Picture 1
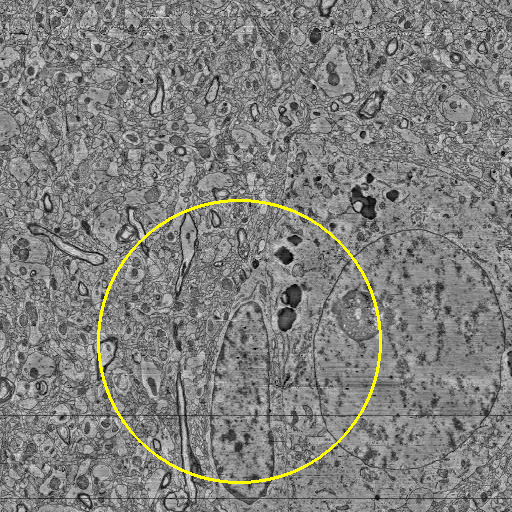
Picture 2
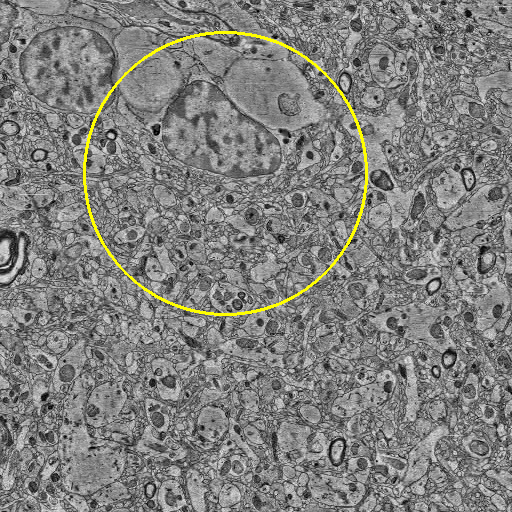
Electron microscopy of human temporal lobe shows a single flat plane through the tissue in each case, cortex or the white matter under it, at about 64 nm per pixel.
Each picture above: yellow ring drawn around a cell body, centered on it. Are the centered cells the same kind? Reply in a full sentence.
Yes, the two cells are the same kind.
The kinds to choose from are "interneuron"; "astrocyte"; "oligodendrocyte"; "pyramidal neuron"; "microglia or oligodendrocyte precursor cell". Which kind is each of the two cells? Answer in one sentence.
In both pictures the ring is centred on a microglial cell or oligodendrocyte precursor cell.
